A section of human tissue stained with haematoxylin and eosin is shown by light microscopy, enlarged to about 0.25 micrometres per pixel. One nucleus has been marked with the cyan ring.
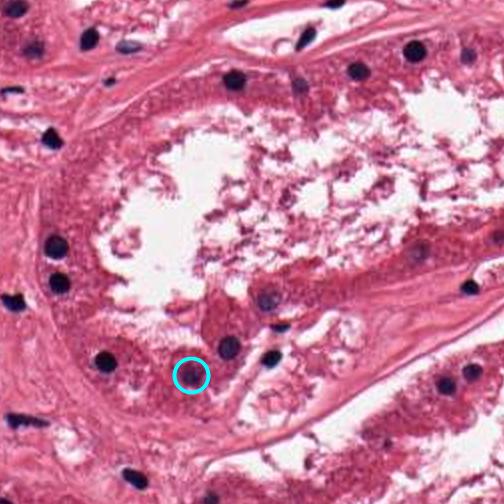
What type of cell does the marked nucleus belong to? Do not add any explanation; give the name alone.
proximal tubule cell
